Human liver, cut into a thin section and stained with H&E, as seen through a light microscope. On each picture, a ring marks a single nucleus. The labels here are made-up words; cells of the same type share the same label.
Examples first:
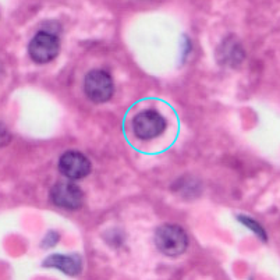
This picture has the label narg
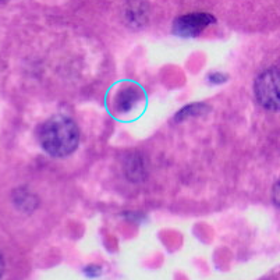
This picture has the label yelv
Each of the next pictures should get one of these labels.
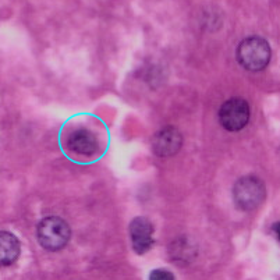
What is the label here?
yelv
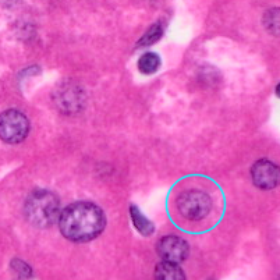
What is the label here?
narg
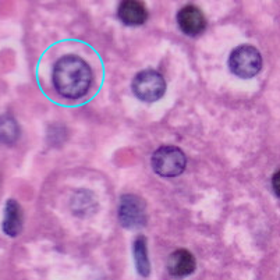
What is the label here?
narg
